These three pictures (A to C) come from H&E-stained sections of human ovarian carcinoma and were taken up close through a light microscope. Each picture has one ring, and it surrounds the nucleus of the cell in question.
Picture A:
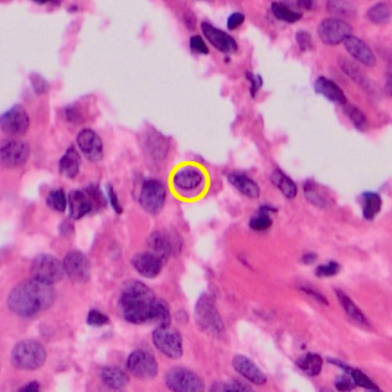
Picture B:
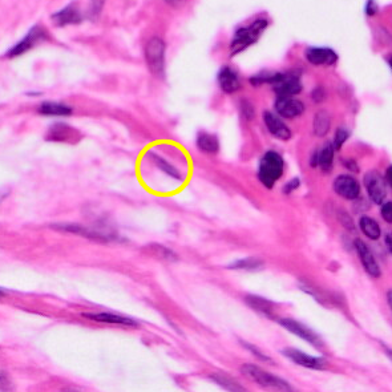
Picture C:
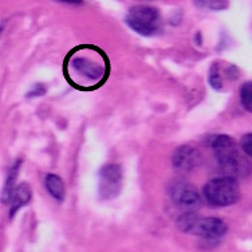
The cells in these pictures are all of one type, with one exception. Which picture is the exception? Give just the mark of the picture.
A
